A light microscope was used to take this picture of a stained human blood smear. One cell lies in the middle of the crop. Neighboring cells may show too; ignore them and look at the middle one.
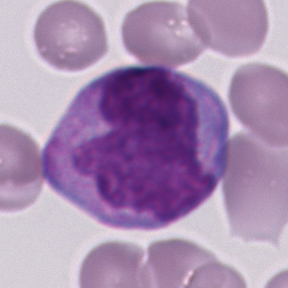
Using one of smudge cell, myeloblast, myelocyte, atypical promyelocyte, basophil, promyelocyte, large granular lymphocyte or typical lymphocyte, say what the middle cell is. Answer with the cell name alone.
atypical promyelocyte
